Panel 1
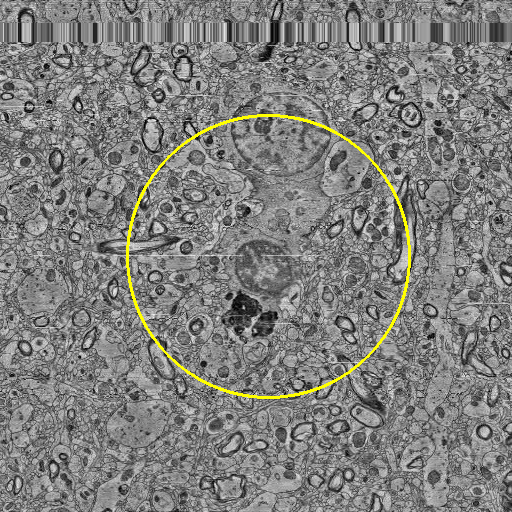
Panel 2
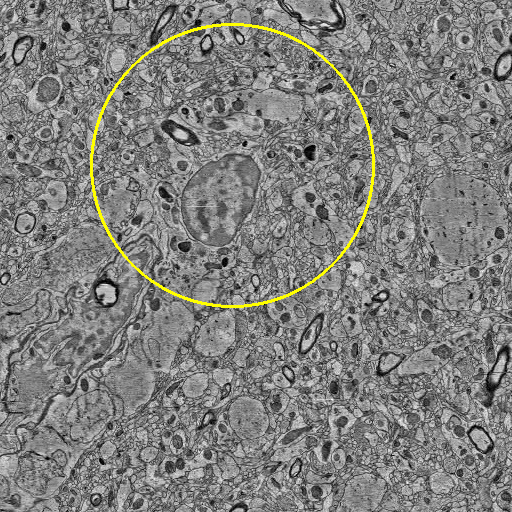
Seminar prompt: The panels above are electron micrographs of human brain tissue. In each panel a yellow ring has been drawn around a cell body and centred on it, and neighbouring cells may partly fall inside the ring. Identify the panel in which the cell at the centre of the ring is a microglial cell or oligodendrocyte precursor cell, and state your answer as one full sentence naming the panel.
Panel 2 has it at the centre of its ring.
